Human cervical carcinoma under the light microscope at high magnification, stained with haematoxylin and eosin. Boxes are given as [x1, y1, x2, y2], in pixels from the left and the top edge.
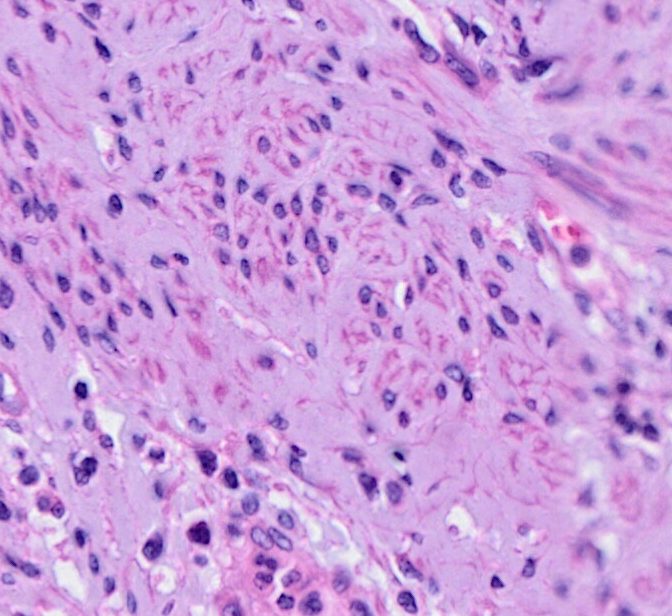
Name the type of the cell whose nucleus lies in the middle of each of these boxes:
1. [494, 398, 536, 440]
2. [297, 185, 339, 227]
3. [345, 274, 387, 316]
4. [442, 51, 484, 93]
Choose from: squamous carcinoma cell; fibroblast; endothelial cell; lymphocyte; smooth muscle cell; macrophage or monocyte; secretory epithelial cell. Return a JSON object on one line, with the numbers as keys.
{"1": "smooth muscle cell", "2": "smooth muscle cell", "3": "smooth muscle cell", "4": "endothelial cell"}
